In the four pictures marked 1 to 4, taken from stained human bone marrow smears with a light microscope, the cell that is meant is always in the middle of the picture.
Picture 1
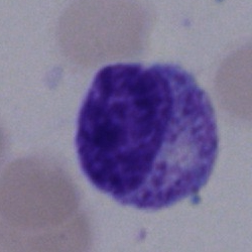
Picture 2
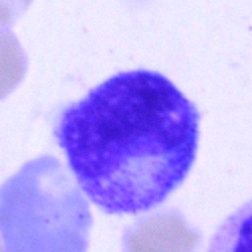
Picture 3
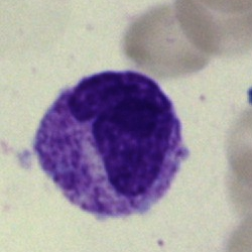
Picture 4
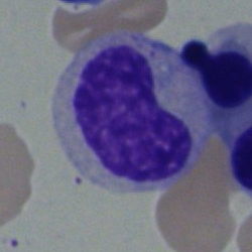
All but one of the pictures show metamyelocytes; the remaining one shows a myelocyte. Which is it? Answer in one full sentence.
The myelocyte is the one in picture 1.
